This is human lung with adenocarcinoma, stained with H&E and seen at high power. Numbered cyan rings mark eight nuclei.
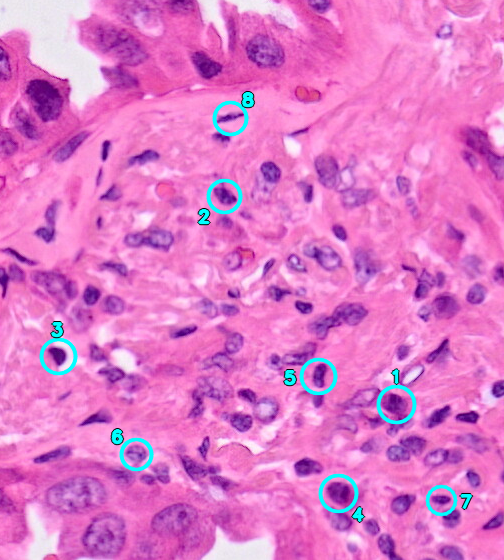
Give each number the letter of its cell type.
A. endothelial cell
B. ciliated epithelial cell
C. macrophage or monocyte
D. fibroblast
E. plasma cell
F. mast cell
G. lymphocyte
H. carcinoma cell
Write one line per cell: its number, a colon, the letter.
1: E
2: G
3: G
4: E
5: G
6: G
7: G
8: D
